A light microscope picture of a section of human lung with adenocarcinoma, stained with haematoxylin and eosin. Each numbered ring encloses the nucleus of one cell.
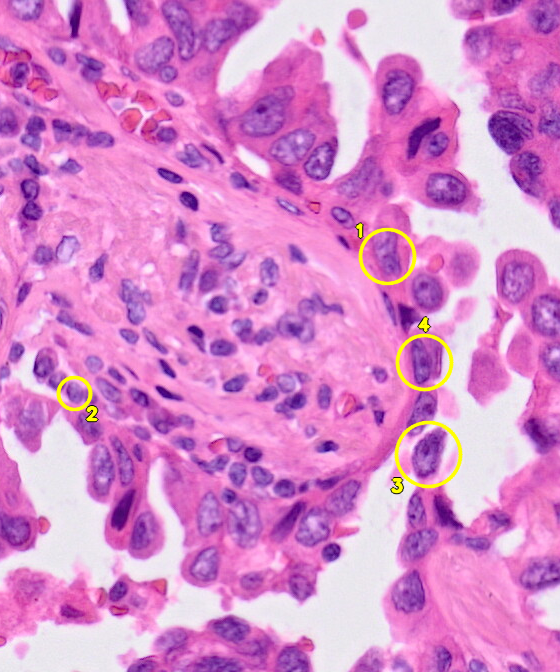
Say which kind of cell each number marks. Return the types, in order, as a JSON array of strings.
["carcinoma cell", "lymphocyte", "carcinoma cell", "carcinoma cell"]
